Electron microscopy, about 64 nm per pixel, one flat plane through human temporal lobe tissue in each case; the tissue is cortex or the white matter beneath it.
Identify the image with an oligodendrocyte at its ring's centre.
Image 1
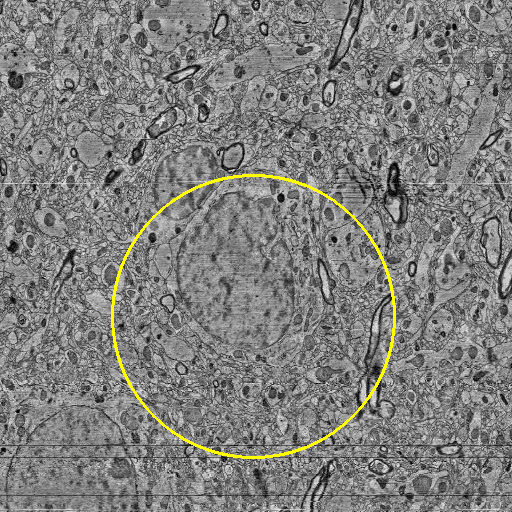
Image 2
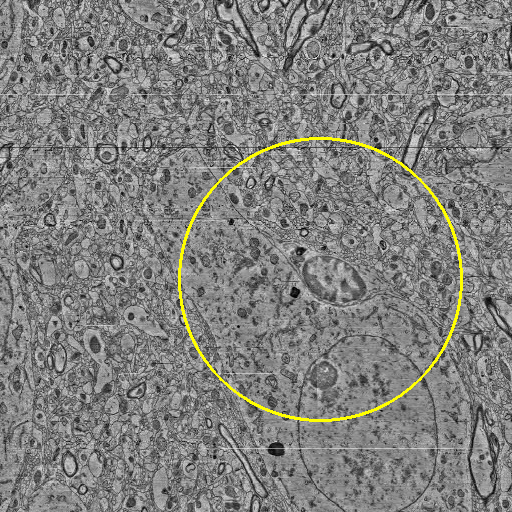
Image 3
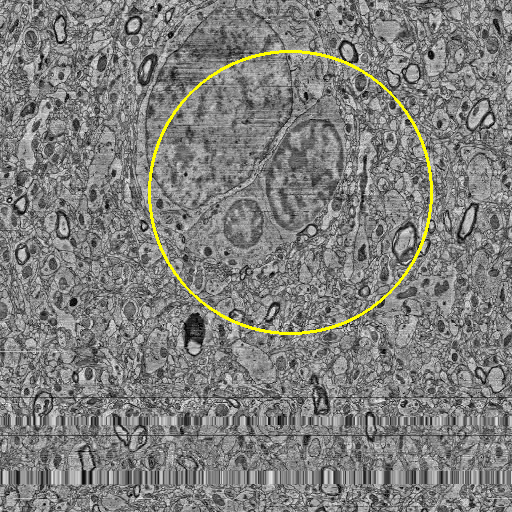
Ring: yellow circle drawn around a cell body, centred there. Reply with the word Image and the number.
Image 3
